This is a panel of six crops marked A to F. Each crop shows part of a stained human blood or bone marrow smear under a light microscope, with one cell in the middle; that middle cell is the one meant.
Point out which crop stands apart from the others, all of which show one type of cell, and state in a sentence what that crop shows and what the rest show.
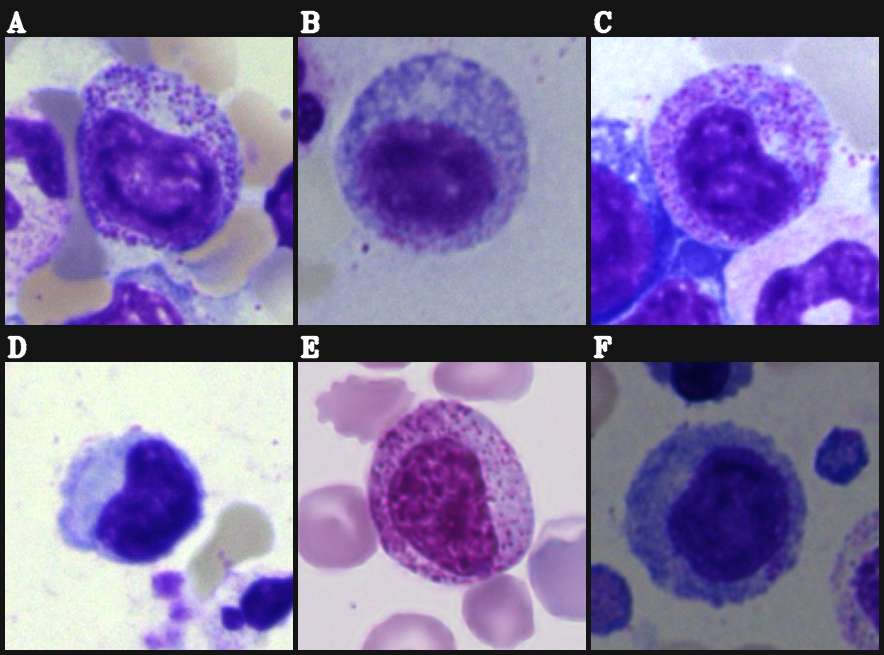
What sets crop D apart is that it is a metamyelocyte; the others are all myelocytes.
